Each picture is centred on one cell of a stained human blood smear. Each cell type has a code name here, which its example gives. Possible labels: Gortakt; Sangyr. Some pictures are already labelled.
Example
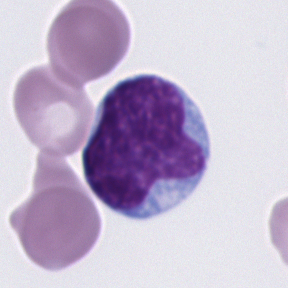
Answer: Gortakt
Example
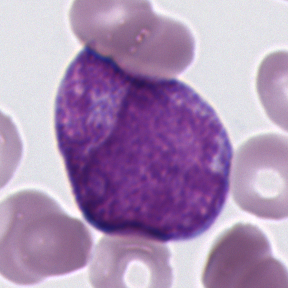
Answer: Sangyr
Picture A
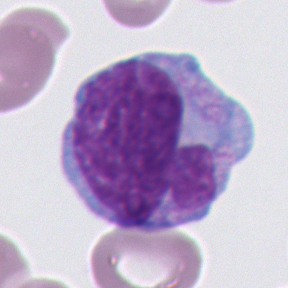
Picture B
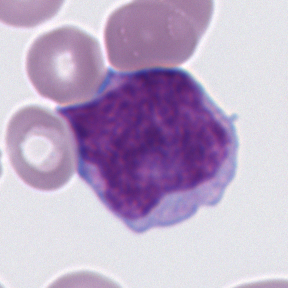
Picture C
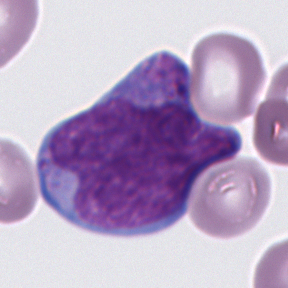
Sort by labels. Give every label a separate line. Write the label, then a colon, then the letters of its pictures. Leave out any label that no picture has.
Sangyr: A, B, C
